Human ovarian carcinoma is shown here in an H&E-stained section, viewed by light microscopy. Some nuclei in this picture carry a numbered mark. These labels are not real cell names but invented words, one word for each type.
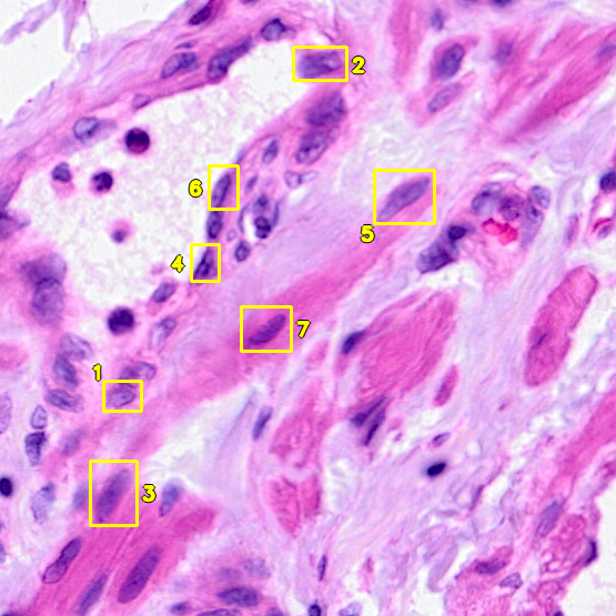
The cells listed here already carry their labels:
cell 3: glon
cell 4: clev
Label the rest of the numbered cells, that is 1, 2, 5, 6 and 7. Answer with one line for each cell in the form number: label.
1: clev
2: clev
5: glon
6: clev
7: glon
